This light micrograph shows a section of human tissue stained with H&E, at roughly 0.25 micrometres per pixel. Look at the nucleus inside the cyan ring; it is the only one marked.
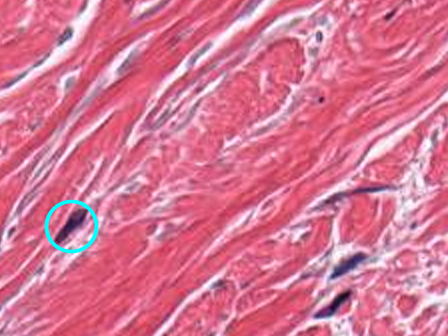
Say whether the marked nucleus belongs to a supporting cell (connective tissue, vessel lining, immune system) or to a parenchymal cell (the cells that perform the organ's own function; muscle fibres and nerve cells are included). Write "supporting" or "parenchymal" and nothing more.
supporting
